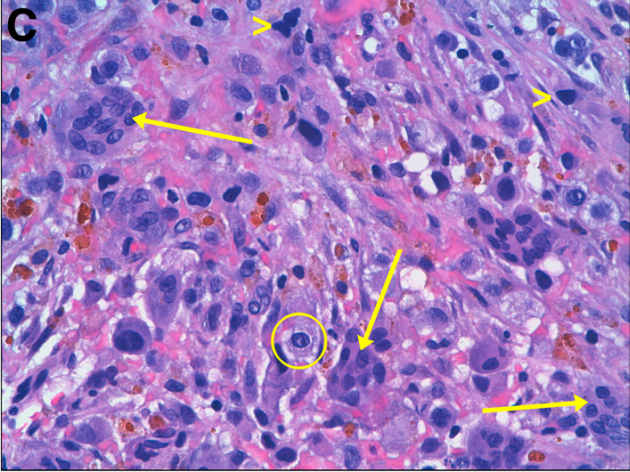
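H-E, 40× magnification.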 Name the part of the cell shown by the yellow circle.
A: Prominent nucleolus.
